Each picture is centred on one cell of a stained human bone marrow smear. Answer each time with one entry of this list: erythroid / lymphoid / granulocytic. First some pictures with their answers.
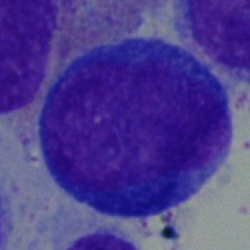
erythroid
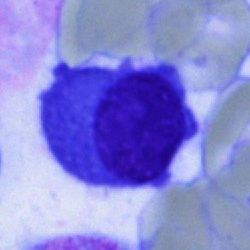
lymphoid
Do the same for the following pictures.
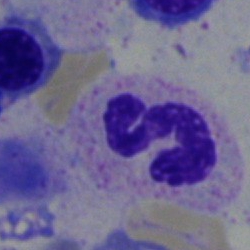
granulocytic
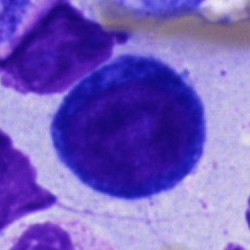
erythroid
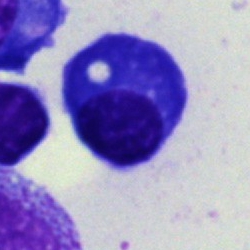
lymphoid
